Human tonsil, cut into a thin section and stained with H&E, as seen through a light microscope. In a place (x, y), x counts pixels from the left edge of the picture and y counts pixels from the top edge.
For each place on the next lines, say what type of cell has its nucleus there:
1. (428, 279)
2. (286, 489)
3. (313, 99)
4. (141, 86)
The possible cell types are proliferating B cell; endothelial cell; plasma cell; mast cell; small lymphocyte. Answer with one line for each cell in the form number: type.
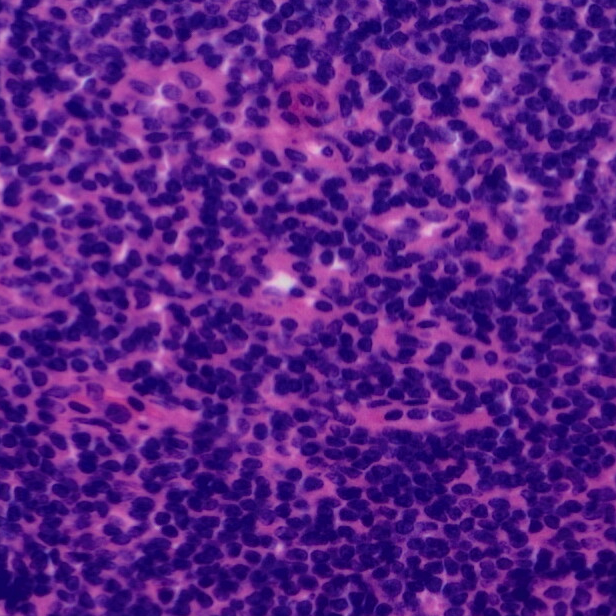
1: small lymphocyte
2: small lymphocyte
3: endothelial cell
4: endothelial cell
